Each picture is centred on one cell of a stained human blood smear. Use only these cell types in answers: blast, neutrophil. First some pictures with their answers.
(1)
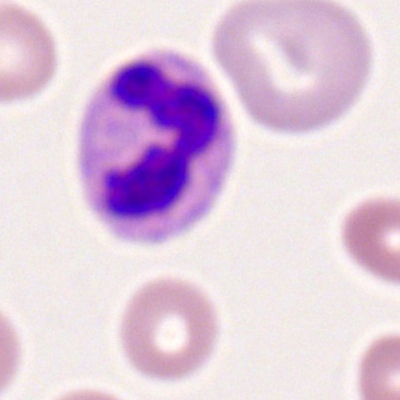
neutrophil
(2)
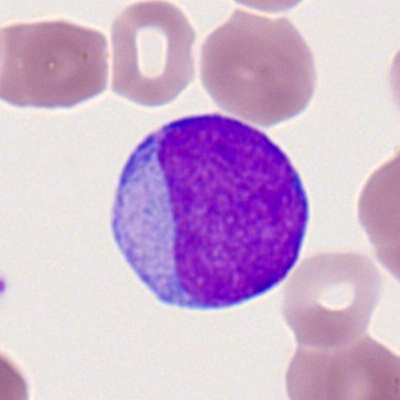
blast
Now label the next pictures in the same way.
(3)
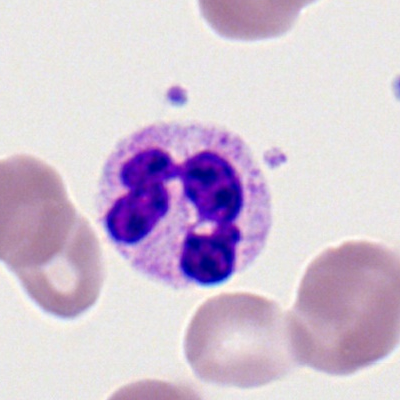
neutrophil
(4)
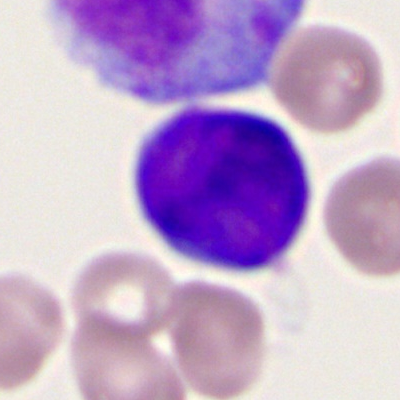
blast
